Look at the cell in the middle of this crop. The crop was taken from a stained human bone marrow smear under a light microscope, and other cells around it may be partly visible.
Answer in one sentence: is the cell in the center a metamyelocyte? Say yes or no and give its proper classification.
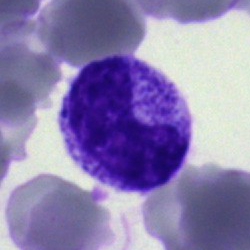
Yes, it is a metamyelocyte that is seen at the centre of the crop.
